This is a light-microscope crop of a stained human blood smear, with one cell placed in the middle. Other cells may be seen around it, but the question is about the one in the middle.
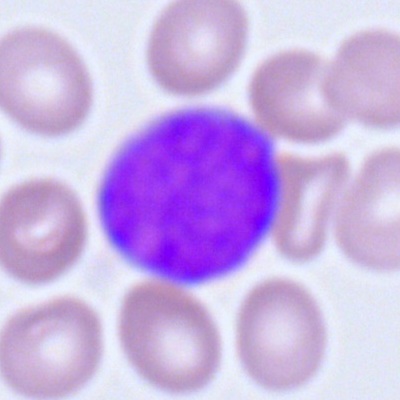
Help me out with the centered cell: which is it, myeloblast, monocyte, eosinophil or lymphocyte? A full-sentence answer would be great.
The cell marked by its central position in the crop is a myeloblast.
